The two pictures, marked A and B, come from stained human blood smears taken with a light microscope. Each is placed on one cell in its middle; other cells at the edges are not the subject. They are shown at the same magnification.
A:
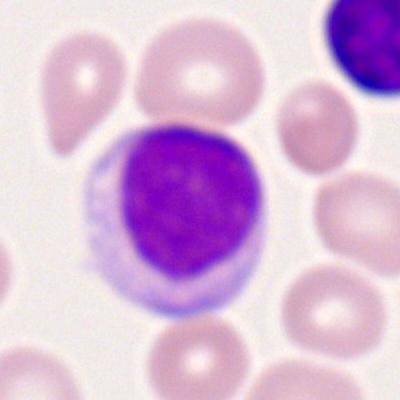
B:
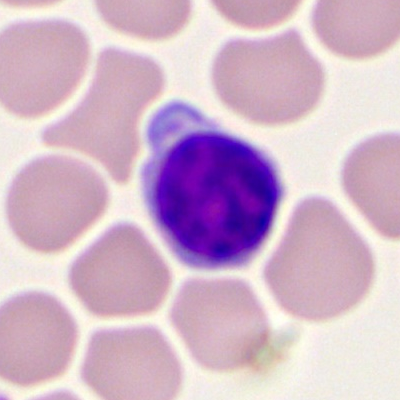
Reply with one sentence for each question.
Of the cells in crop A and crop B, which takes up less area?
Crop B holds the smaller cell, since the cell in crop A covers about 1.5 times as much area.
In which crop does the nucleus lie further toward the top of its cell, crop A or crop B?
Seen within its cell, the nucleus in crop A lies further toward the top.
